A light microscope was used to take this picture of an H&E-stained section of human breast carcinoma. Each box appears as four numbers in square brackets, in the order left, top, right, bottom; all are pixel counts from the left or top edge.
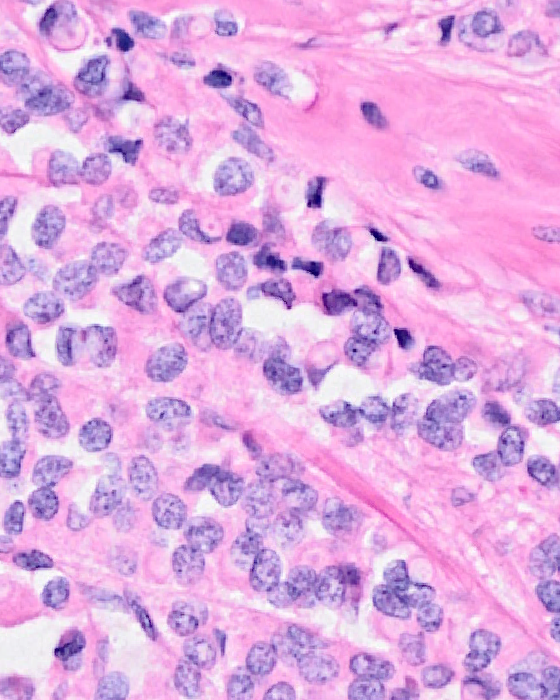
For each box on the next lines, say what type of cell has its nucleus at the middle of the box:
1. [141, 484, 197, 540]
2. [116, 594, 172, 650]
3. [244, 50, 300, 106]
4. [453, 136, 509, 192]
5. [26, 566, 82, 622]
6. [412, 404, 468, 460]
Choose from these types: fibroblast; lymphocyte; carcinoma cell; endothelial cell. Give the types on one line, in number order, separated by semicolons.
carcinoma cell; endothelial cell; endothelial cell; fibroblast; carcinoma cell; carcinoma cell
